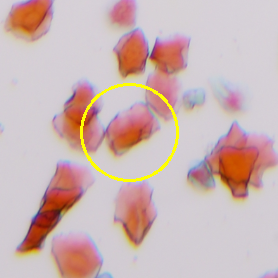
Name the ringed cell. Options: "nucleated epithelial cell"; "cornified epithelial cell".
cornified epithelial cell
